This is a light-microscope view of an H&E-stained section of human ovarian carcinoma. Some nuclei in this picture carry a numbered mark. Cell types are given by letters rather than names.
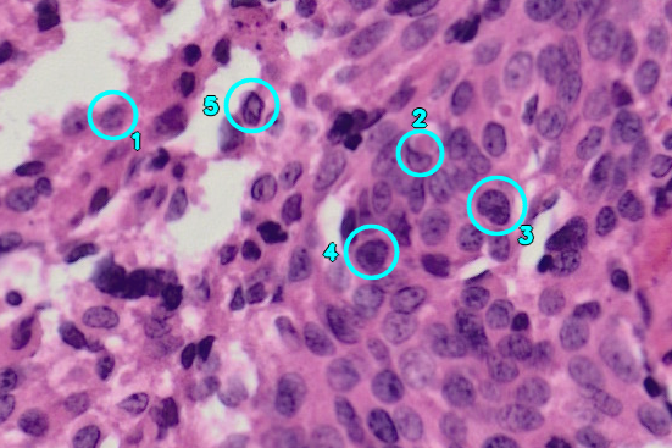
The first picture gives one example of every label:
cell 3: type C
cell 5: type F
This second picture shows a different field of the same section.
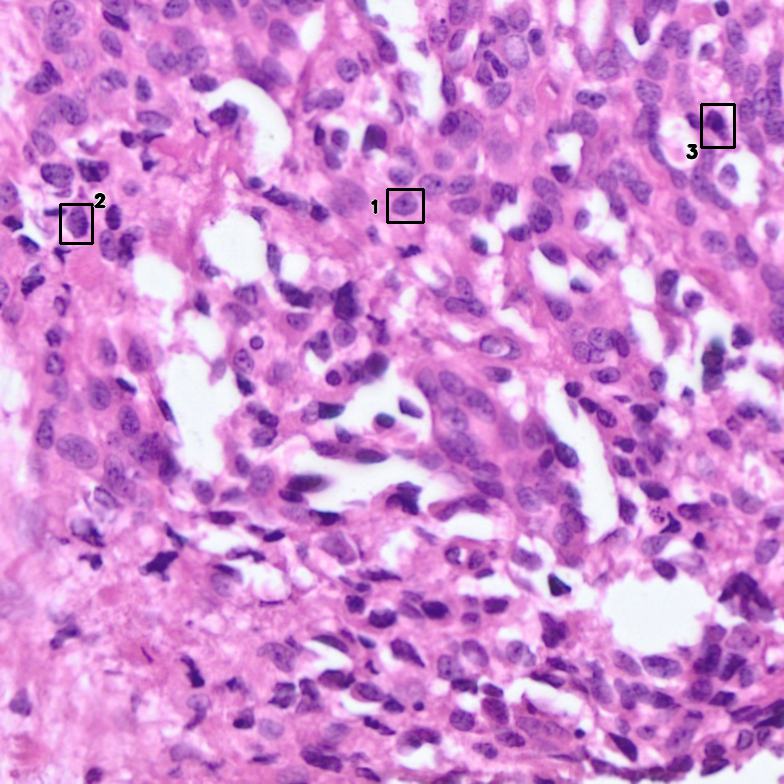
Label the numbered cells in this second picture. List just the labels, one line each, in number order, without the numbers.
type F
type F
type C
